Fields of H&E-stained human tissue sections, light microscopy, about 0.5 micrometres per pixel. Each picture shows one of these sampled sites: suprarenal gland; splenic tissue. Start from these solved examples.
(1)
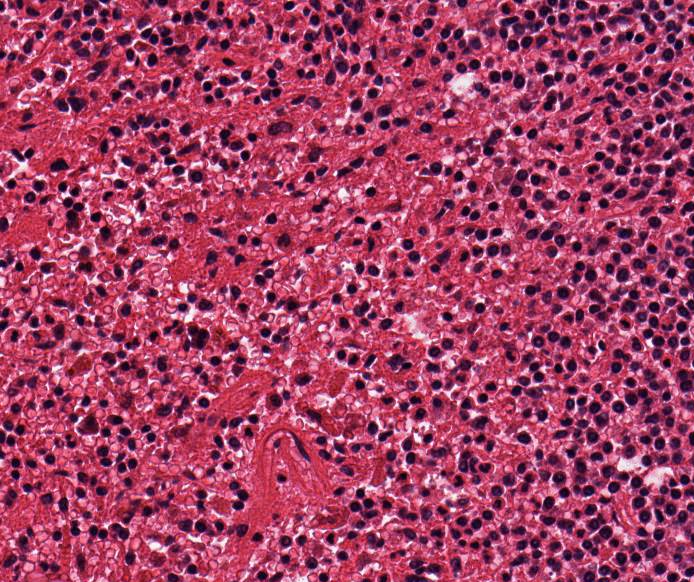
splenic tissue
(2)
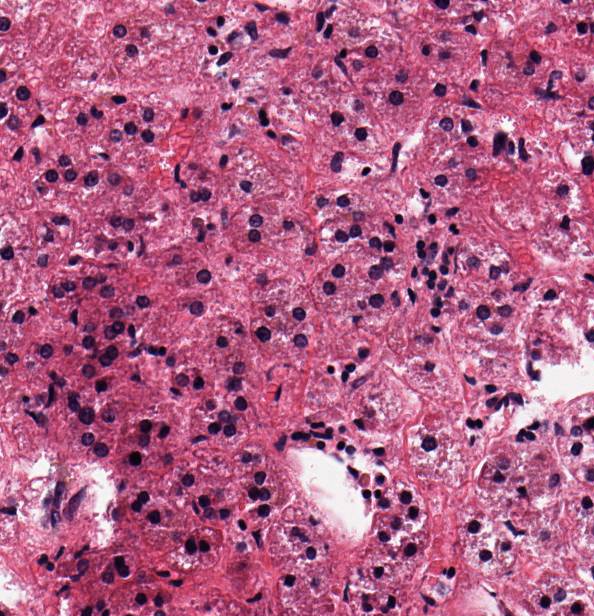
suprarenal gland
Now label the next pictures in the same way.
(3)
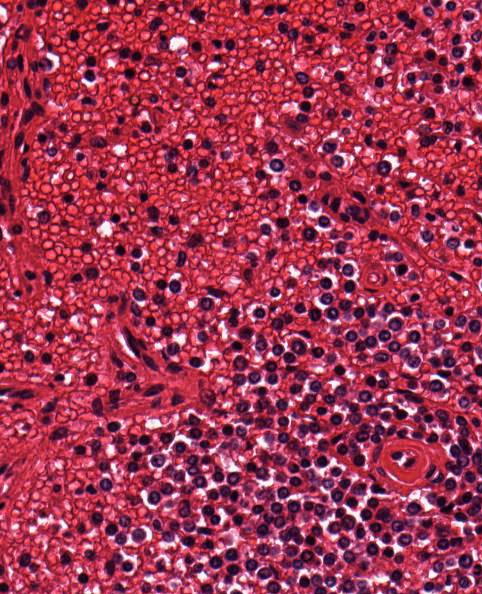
splenic tissue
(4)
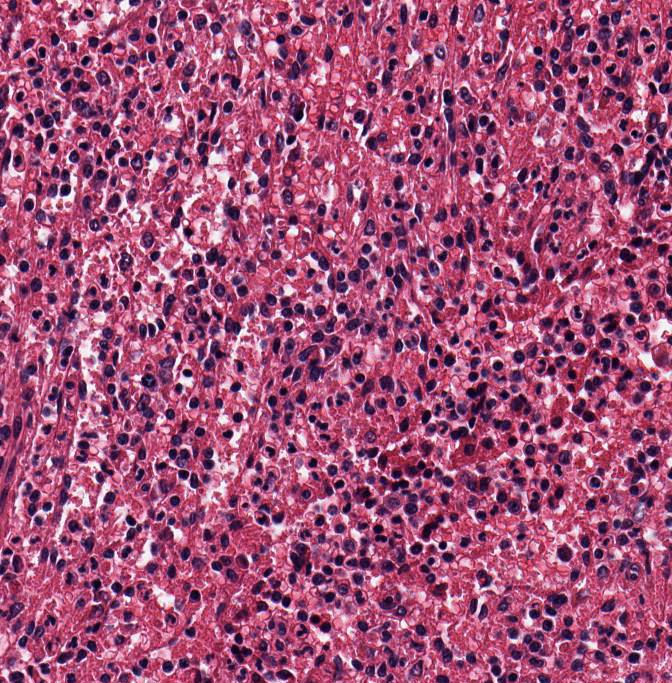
splenic tissue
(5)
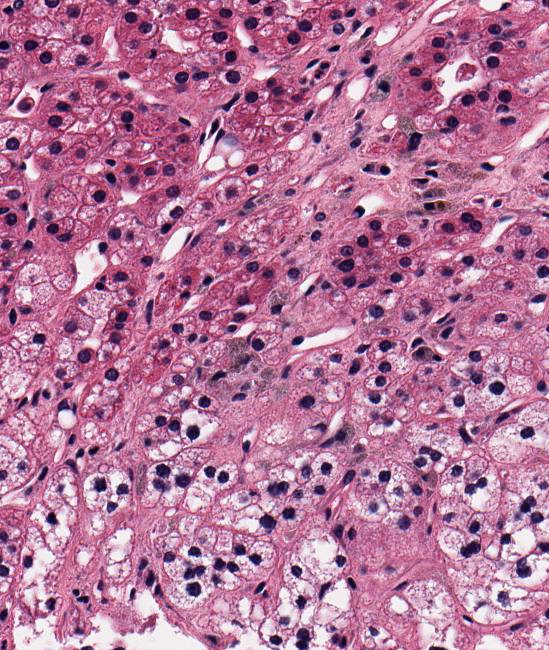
suprarenal gland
